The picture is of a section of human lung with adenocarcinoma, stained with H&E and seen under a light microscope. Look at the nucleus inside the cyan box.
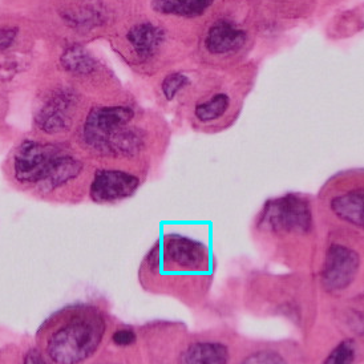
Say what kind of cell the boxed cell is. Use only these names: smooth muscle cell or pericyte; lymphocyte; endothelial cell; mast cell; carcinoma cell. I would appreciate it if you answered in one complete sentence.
In this section of tissue, the boxed cell is a carcinoma cell.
